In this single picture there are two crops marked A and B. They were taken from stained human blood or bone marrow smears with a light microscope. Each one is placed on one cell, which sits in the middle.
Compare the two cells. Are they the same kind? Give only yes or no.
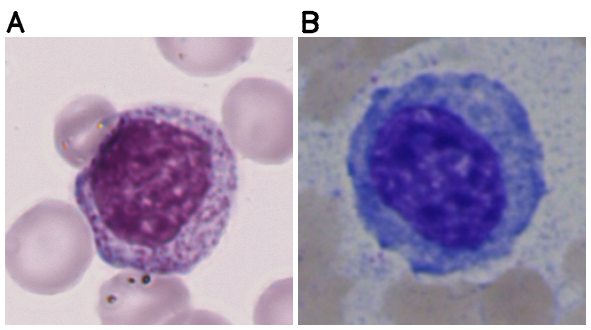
yes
